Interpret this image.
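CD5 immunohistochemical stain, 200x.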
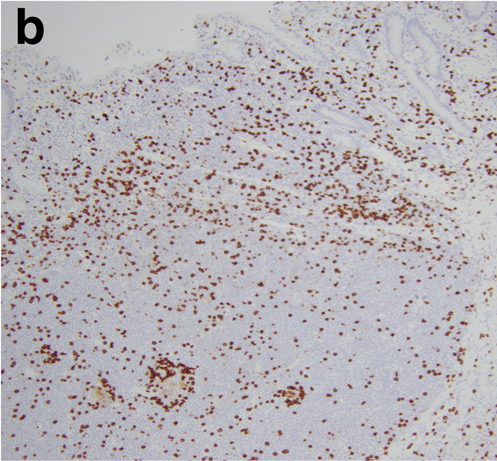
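Mucosa with glands at the upper right overlies a dense sheet of small round lymphoid cells whose nuclei are counterstained blue and which largely lack brown stain. Scattered among them, more numerous toward the surface and in a few small clusters lower down, are individual small cells stained dark brown.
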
